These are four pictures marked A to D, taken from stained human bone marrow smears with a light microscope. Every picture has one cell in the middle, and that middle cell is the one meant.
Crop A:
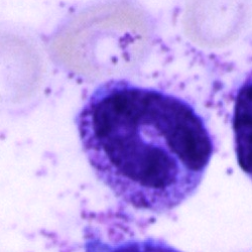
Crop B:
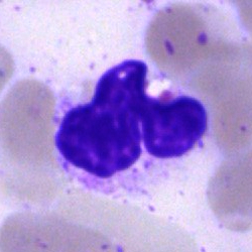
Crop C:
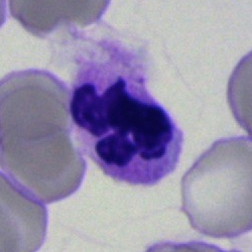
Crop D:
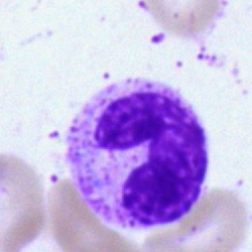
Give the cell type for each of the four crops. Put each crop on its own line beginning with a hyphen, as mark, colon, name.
- A: band neutrophil
- B: segmented neutrophil
- C: segmented neutrophil
- D: band neutrophil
